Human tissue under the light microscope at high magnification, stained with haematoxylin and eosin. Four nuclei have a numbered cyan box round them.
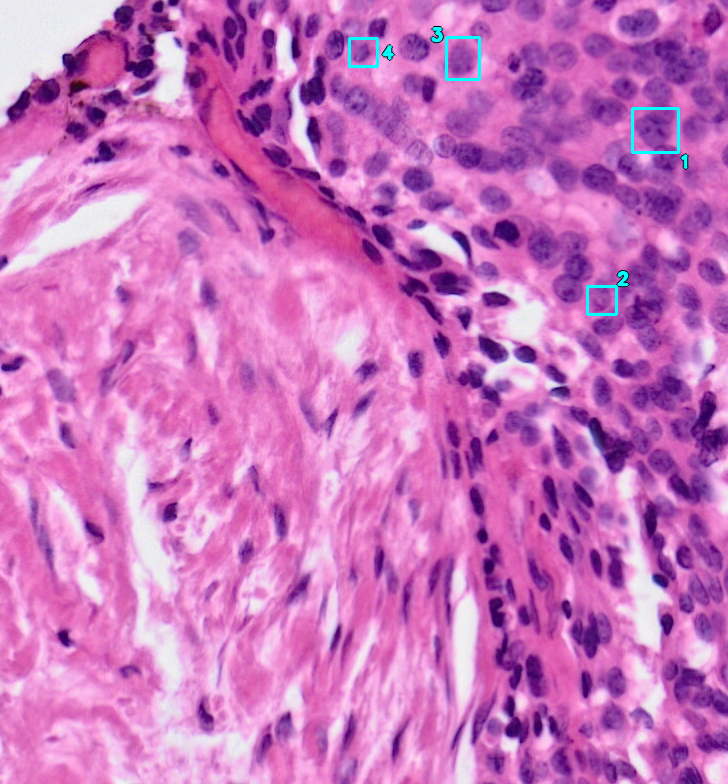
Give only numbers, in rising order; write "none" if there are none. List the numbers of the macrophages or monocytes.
4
